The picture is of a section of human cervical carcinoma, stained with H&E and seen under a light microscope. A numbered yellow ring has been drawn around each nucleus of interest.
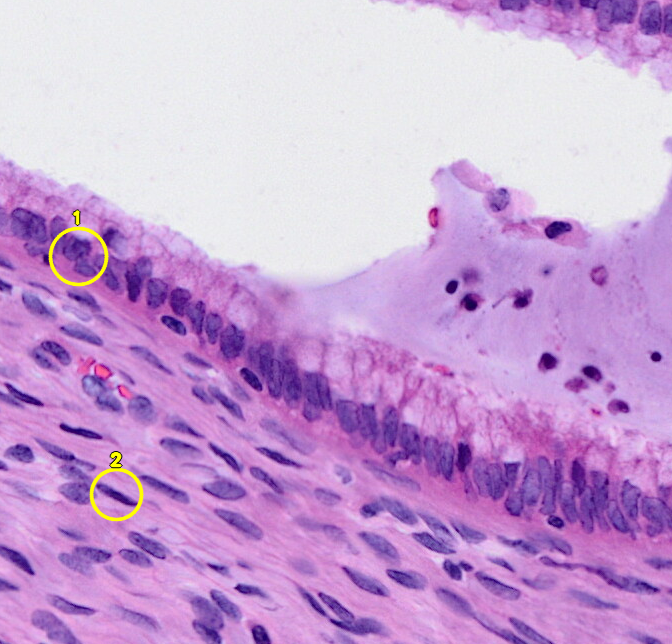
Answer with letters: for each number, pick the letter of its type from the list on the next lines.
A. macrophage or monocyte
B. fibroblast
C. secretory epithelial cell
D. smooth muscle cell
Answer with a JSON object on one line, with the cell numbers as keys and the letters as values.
{"1": "C", "2": "B"}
